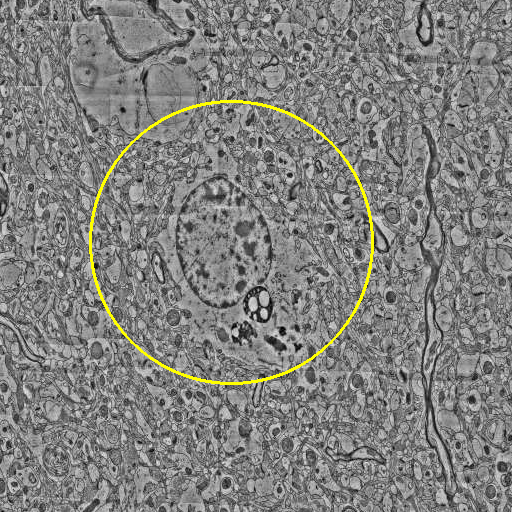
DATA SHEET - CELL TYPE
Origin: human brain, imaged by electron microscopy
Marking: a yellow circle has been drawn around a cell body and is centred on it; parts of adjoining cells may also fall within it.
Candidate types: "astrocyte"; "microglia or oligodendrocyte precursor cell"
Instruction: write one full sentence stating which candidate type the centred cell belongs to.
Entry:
The cell body at the centre of the yellow ring in this micrograph belongs to an astrocyte.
